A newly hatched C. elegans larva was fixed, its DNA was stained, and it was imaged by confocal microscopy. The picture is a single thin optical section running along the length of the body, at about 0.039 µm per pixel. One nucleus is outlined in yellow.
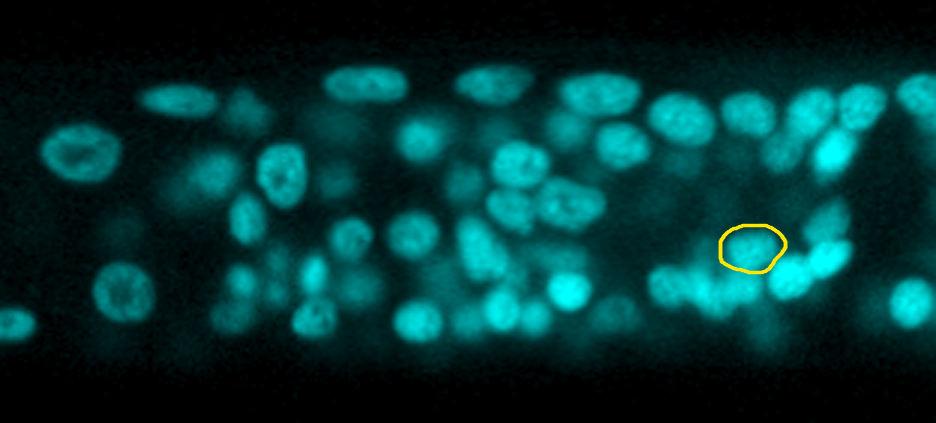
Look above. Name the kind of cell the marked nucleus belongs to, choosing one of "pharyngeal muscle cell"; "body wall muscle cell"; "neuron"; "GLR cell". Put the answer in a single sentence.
What is marked is the nucleus of a neuron.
